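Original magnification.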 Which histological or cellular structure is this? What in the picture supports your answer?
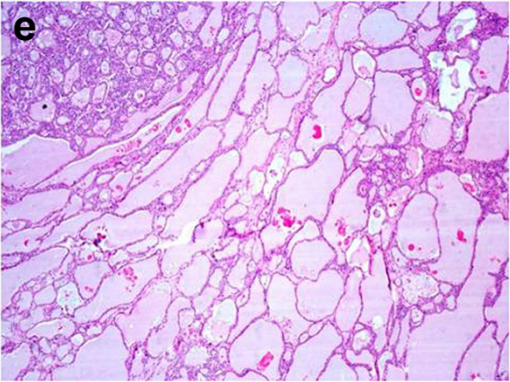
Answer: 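Numerous dilated cysts and tubules filled with pale pink secretion. Cysts are lined by thin flattened epithelium, resembling follicles. That points to this answer: tubulocystic morphology.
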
